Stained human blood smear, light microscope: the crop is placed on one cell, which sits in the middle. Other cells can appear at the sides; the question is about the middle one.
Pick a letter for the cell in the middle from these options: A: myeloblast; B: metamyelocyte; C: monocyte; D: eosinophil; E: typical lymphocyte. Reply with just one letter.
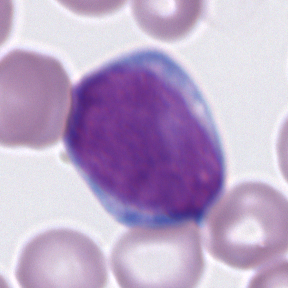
A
